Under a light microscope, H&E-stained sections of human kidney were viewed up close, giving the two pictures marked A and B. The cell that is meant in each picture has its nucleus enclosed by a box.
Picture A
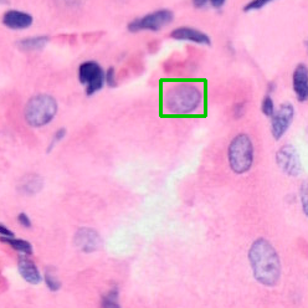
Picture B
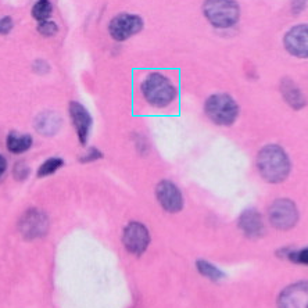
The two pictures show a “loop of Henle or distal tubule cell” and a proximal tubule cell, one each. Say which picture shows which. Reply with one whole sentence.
The cell in picture A is a proximal tubule cell, and the one in picture B is a “loop of Henle or distal tubule cell”.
